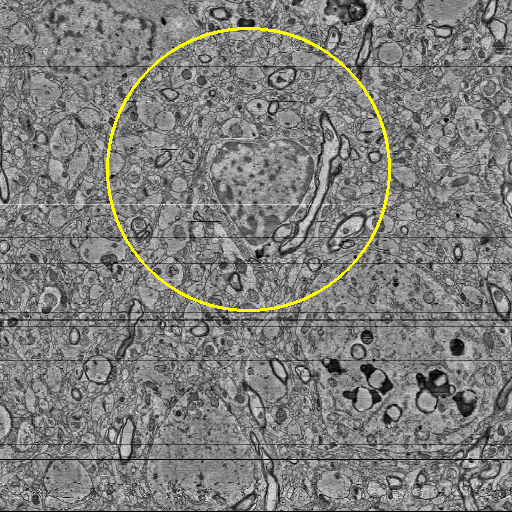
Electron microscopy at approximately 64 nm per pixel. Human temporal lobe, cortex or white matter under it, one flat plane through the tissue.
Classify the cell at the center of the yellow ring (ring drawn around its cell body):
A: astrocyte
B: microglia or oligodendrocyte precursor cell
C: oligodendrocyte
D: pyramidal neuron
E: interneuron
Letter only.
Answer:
B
